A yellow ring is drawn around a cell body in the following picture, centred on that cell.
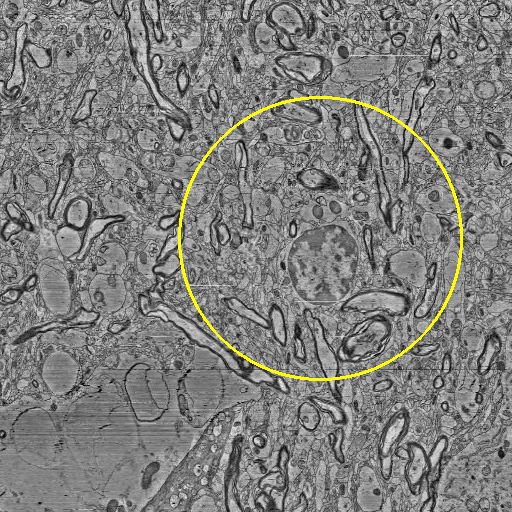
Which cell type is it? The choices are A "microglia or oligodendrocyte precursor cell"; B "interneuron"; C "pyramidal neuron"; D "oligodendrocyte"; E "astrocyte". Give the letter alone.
A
